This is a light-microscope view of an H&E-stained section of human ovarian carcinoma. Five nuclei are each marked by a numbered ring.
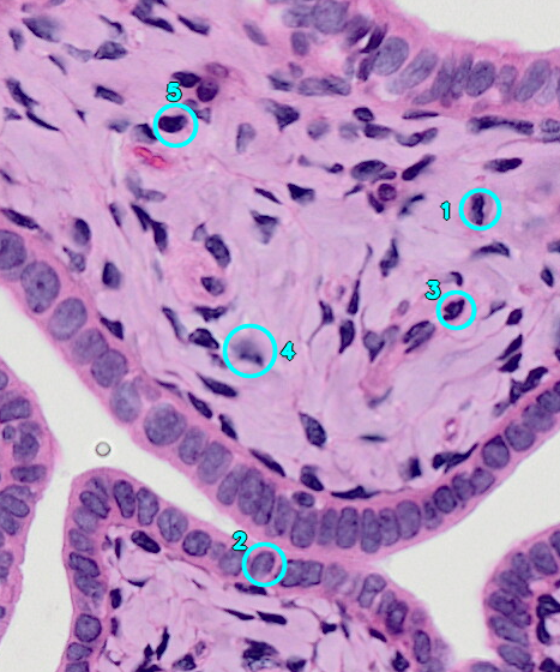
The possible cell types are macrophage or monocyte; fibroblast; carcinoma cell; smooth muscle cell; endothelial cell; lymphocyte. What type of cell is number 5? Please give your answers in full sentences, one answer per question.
To a lymphocyte belongs the nucleus marked 5.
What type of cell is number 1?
The cell indicated by marker 1 is an endothelial cell in this section.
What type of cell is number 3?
To an endothelial cell belongs the nucleus marked 3.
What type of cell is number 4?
Here, the cell given the number 4 is a fibroblast.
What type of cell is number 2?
The one numbered 2 among the marked cells is a carcinoma cell.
